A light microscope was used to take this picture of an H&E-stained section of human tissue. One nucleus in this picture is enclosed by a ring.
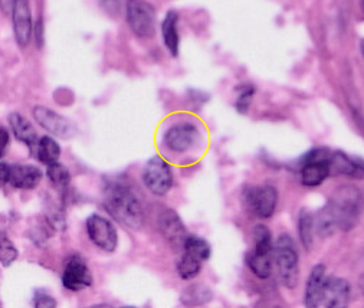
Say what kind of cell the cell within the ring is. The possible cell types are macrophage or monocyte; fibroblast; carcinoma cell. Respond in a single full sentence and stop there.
In the stained section, the cell within the ring is a macrophage or monocyte.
